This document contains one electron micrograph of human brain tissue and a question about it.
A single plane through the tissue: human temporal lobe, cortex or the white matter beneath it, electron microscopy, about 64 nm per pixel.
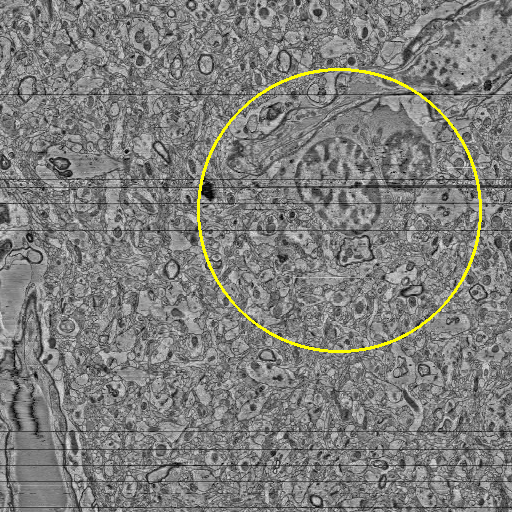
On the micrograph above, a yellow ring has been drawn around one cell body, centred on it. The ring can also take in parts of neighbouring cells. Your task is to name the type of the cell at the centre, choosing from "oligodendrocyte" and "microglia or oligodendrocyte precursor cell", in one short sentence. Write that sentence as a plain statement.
Here the ring is centred on an oligodendrocyte.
